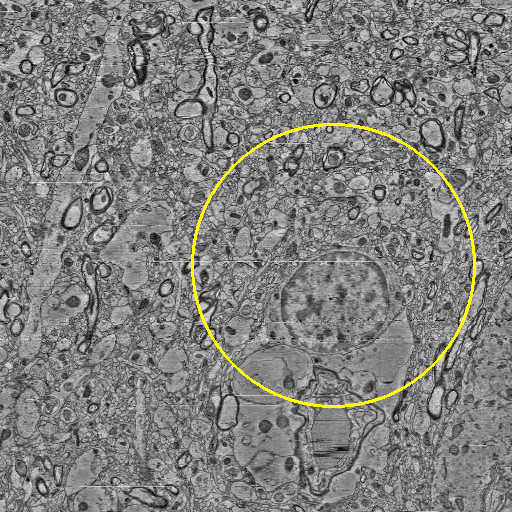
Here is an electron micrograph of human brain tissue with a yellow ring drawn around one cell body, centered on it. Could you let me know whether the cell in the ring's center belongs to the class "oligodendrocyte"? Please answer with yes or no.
yes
